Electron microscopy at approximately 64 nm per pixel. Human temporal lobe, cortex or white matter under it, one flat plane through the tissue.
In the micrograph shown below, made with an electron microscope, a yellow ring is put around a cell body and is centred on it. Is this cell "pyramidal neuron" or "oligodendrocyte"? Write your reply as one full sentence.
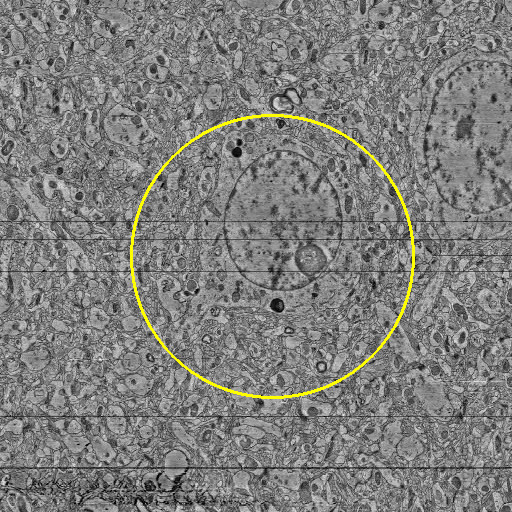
In the micrograph, a pyramidal neuron is the cell at the centre of the yellow ring.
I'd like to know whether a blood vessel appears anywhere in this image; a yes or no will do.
No.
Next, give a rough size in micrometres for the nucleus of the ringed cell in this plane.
The nucleus appears roughly 9 by 8 micrometres in this plane.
